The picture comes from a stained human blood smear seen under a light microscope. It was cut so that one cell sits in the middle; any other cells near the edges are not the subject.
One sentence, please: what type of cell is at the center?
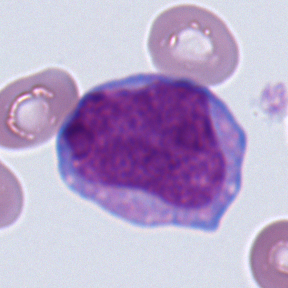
The cell in the middle of this crop is an atypical promyelocyte.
